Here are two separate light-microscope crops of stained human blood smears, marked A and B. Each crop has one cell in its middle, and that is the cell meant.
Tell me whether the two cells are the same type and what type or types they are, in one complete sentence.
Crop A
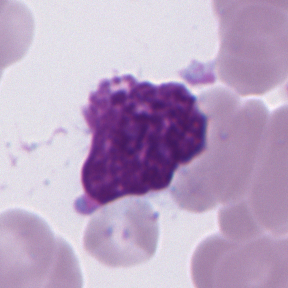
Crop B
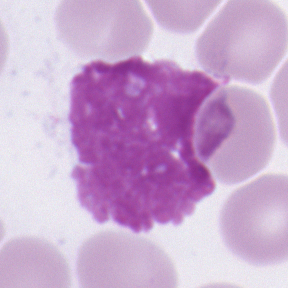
Yes, what both crops show is smudge cells.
